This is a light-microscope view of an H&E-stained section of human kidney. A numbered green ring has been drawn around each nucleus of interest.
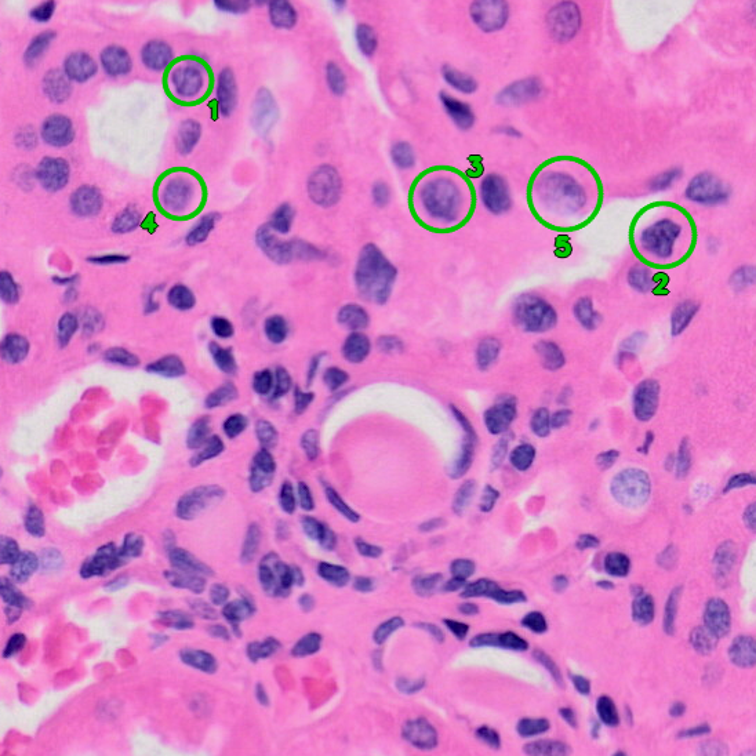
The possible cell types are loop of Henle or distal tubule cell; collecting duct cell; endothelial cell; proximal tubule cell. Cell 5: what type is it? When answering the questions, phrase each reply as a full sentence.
The marked cell with the number 5 is recognised as a loop of Henle or distal tubule cell.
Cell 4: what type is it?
The cell numbered 4 has been identified as a collecting duct cell.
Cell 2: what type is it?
The cell to which the number 2 is assigned is a loop of Henle or distal tubule cell.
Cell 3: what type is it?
Corresponding to a loop of Henle or distal tubule cell is the cell labelled 3.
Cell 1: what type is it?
The cell that goes by number 1 is a collecting duct cell.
